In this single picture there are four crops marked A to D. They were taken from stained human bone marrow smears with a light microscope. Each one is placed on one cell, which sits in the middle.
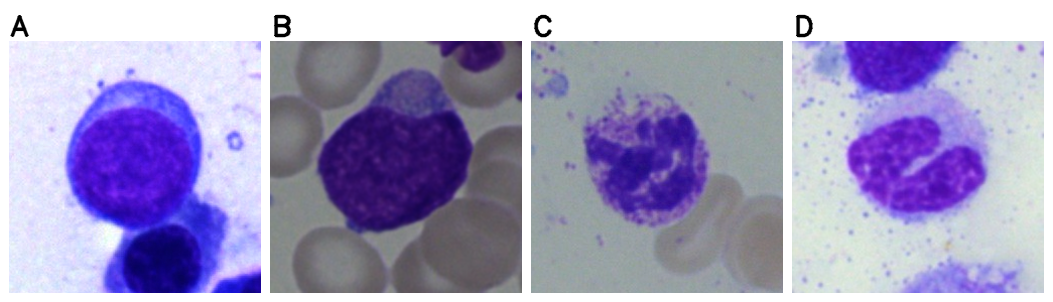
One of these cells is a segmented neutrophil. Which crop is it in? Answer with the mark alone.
C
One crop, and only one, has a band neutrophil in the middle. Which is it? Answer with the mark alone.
D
